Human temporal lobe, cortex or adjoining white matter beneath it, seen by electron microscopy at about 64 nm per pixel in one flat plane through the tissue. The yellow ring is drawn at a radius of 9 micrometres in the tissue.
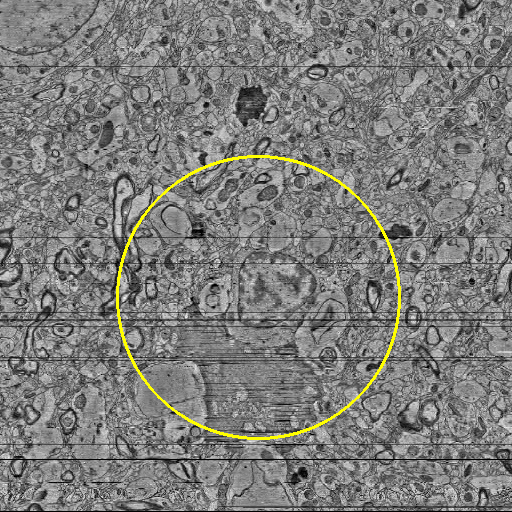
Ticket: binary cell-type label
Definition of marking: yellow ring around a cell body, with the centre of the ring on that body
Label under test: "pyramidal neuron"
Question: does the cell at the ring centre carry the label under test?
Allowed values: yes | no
no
